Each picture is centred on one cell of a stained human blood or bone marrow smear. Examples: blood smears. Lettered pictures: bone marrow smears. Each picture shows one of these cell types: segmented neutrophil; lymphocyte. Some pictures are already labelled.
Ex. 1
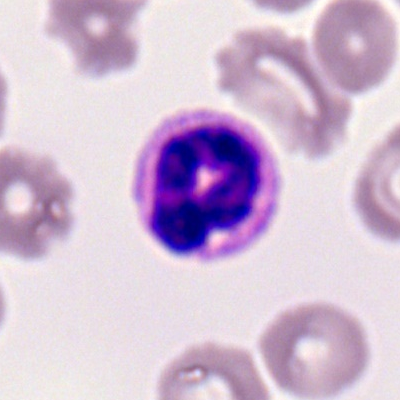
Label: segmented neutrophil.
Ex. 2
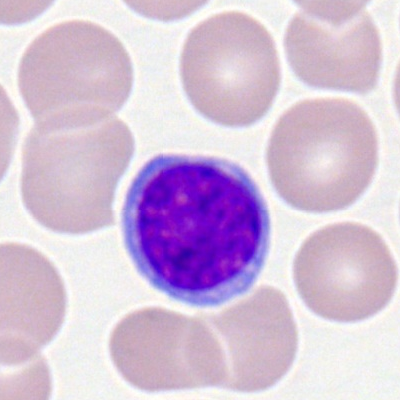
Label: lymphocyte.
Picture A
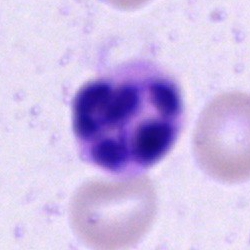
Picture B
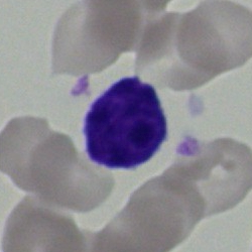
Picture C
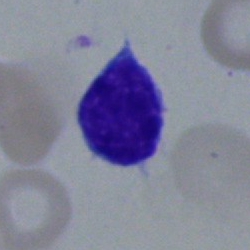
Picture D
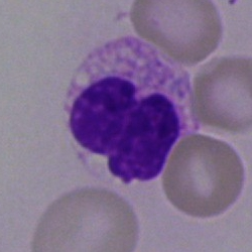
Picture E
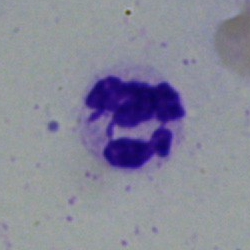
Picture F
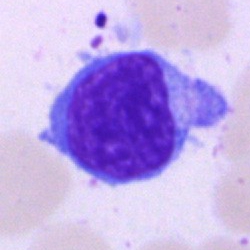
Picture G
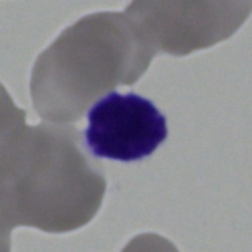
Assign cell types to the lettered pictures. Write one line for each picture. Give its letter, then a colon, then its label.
A: segmented neutrophil.
B: lymphocyte.
C: lymphocyte.
D: segmented neutrophil.
E: segmented neutrophil.
F: lymphocyte.
G: lymphocyte.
